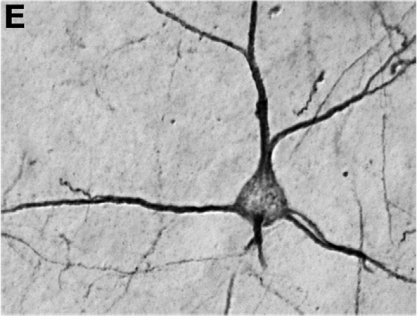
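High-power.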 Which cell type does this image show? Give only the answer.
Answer: Pyramidal neurons.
